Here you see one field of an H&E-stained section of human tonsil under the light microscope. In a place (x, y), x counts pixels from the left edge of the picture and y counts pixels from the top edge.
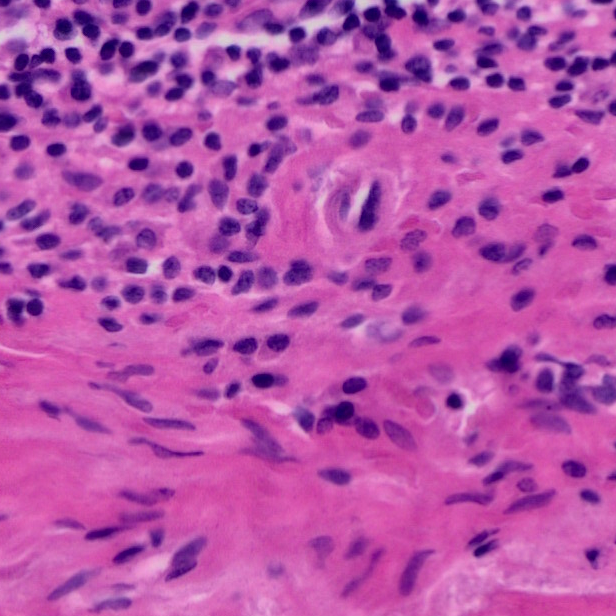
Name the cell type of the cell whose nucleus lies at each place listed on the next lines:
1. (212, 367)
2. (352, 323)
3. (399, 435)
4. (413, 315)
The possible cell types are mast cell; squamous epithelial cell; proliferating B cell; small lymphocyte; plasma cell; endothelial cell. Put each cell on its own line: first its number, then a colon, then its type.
1: mast cell
2: endothelial cell
3: endothelial cell
4: endothelial cell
